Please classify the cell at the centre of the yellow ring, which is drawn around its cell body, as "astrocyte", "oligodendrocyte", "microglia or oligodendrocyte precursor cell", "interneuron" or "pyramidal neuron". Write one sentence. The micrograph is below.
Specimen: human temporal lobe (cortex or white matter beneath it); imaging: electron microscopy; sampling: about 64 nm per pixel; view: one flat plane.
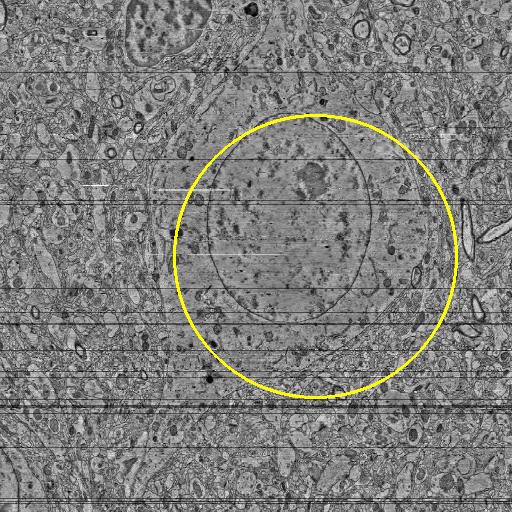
The cell at the ring's centre is classified as a pyramidal neuron.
